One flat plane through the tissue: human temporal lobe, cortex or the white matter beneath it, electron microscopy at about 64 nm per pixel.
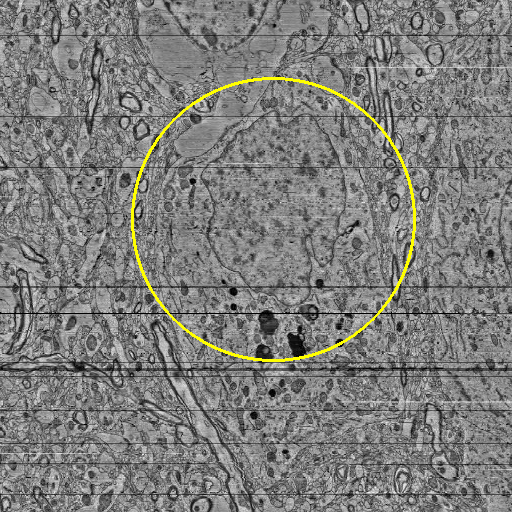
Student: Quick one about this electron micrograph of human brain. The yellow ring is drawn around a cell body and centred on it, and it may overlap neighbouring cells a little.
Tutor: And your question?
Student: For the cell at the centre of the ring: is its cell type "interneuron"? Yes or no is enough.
yes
